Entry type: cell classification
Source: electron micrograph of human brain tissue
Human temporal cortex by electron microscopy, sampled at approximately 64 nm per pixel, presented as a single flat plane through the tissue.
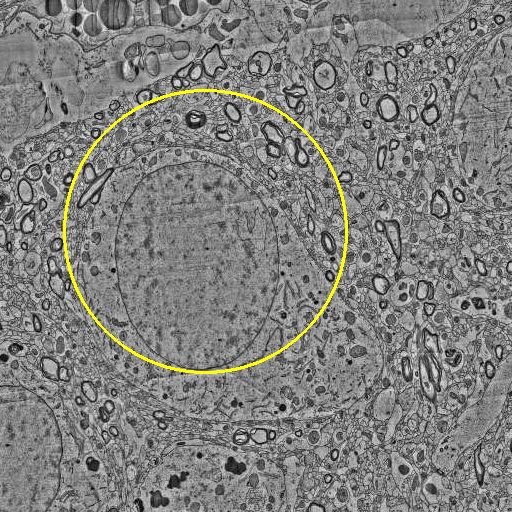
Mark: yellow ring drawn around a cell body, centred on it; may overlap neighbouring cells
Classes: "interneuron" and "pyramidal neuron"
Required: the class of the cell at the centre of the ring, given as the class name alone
pyramidal neuron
